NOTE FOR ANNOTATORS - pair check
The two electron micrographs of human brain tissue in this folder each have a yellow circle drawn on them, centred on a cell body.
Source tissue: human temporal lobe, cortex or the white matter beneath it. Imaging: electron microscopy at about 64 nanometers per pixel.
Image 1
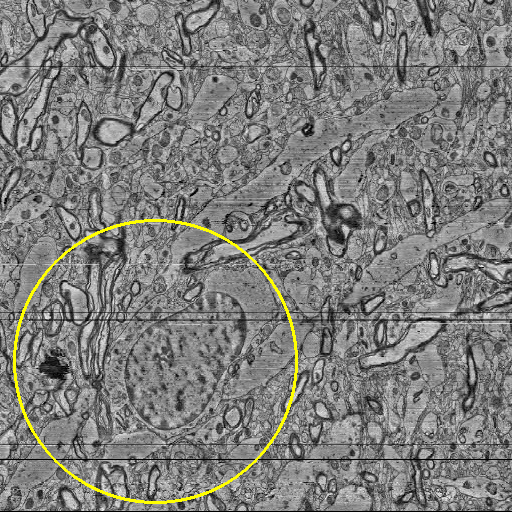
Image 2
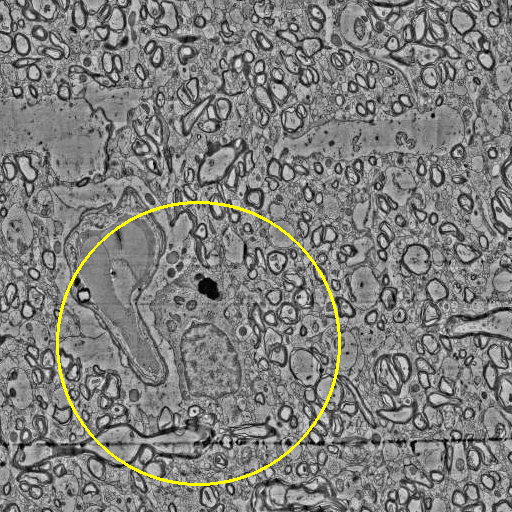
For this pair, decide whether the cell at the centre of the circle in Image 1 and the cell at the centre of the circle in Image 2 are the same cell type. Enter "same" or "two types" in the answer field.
two types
